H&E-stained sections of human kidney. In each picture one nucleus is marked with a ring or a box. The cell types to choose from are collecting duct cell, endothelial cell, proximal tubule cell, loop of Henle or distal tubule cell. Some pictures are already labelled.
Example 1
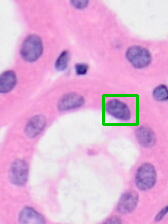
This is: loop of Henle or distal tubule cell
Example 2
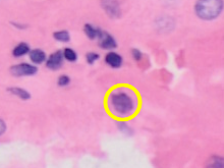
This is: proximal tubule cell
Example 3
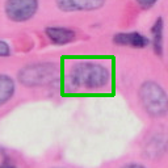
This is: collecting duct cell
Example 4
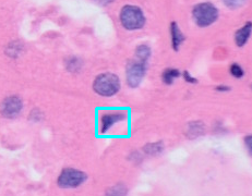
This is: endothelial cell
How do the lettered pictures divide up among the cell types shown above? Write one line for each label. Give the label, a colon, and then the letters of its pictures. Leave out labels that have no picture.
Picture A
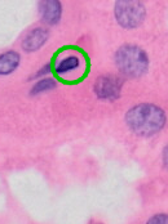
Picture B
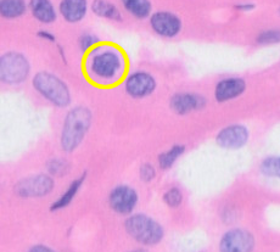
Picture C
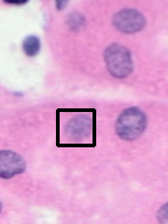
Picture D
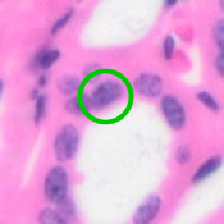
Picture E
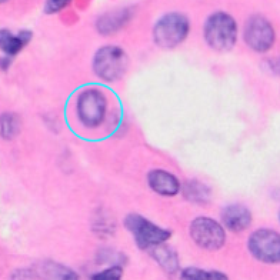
collecting duct cell: B, D, E
endothelial cell: A
proximal tubule cell: C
